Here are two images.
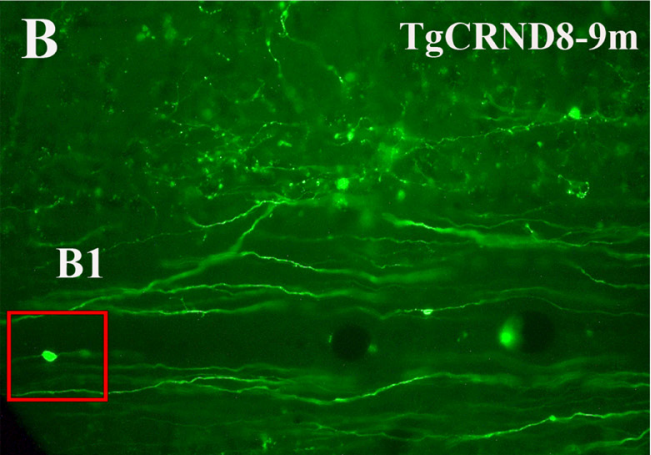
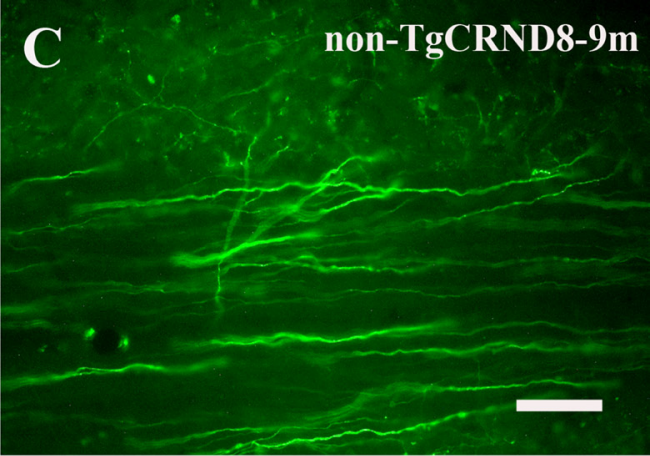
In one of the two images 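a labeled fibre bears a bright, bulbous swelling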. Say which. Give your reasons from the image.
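Second image: the parallel green fibres run with fairly even thickness, with no isolated bright bulb on them. First image: in the lower left a thin fibre carries a small, very bright oval bead.
Answer: the first image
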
